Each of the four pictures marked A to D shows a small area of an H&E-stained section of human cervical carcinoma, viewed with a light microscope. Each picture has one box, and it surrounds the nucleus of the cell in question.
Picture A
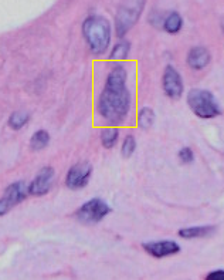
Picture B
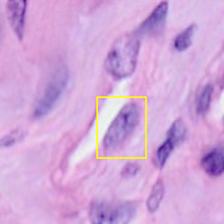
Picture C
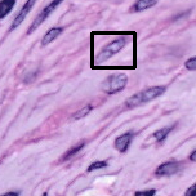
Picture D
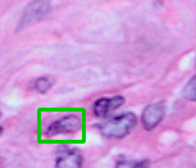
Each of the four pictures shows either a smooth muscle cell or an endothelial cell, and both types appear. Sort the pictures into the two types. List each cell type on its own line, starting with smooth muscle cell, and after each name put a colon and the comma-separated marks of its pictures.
smooth muscle cell: A, C
endothelial cell: B, D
